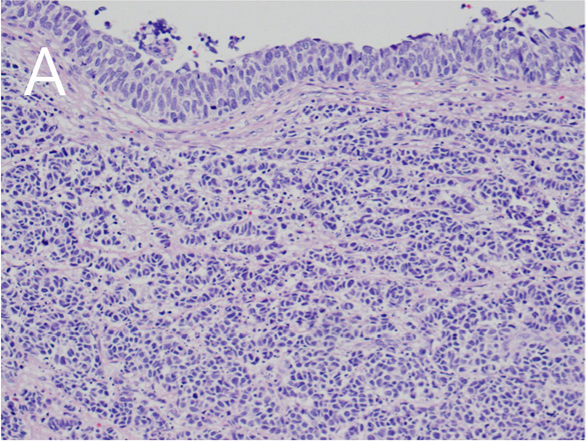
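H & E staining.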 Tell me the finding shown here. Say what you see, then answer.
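Nuclear moulding. Cells crowd together with scant cytoplasm between nuclei.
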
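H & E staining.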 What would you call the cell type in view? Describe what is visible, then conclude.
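Sheets of small cells with dark, hyperchromatic nuclei fill most of the field. The cells have very little cytoplasm.
Conclusion: small cell carcinoma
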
